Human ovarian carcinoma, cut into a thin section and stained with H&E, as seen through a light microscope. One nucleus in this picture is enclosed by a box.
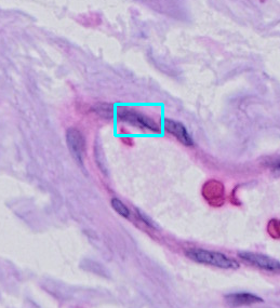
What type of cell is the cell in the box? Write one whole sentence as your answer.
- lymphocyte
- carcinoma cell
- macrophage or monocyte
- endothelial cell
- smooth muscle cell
For the purposes of cell typing, the cell in the box is categorized as an endothelial cell.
